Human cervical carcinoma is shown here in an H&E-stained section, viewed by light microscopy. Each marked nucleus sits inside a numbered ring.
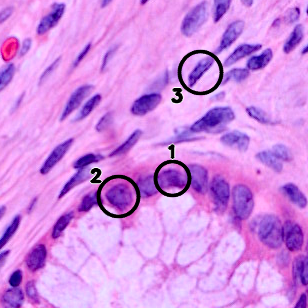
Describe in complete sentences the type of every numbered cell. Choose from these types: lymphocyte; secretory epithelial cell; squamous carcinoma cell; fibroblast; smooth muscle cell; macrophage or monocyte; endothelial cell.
Cell 1 is a secretory epithelial cell, cell 2 is a secretory epithelial cell and cell 3 is a fibroblast.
